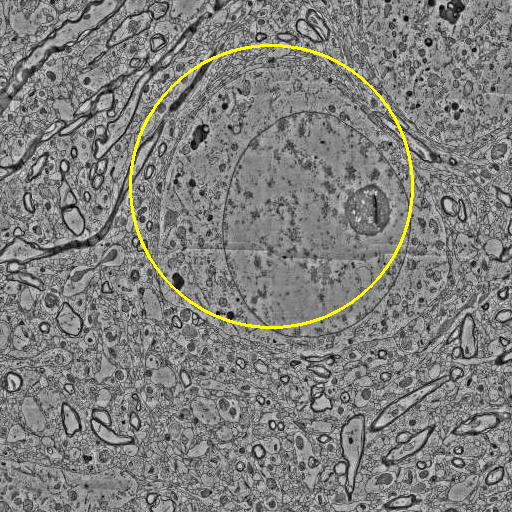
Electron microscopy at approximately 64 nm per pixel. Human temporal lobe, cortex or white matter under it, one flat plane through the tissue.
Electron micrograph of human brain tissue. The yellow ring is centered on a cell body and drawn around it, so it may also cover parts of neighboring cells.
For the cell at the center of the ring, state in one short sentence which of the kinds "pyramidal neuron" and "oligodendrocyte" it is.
This ring is centered on a pyramidal neuron.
